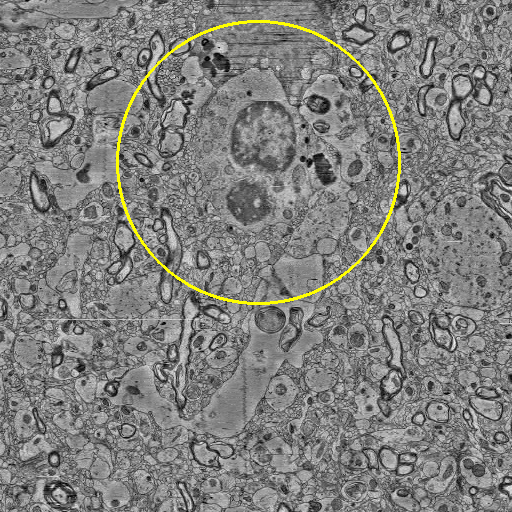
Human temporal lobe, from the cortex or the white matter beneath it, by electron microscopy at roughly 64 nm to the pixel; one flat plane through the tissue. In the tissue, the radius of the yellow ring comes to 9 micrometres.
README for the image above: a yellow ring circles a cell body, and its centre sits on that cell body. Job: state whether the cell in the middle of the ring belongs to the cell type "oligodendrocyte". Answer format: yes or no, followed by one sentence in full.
Yes, the cell sitting in the middle of the ring in the image belongs to that type.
